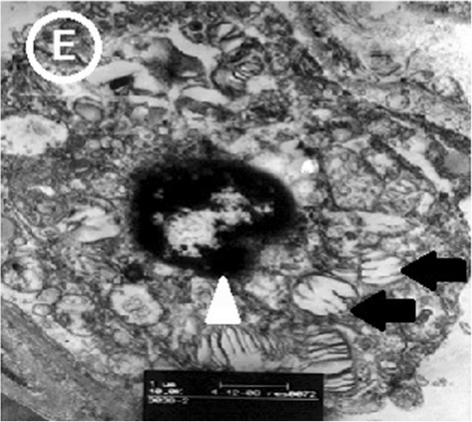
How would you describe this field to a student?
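A lung alveolar cell whose nucleus is shrunken and very dense, with dark chromatin massed against its rim around a paler centre. The cytoplasm around it is crowded with pale, swollen vesicles and several bodies of stacked parallel membranes.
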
